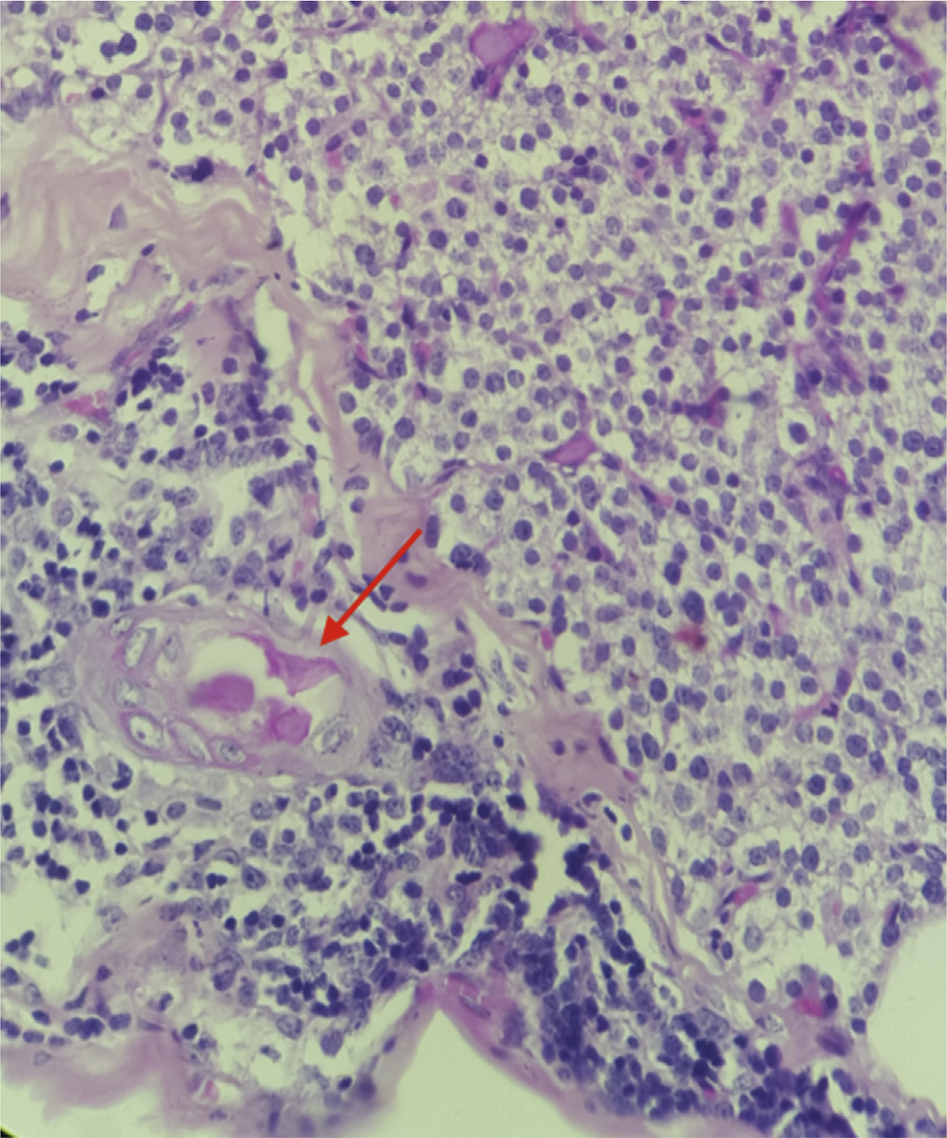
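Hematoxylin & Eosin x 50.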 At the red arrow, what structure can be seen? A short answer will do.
Hassall's corpuscle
